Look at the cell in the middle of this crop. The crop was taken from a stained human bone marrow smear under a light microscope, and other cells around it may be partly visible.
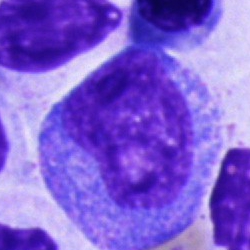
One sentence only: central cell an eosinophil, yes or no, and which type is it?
No, the central cell is a promyelocyte, not an eosinophil.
